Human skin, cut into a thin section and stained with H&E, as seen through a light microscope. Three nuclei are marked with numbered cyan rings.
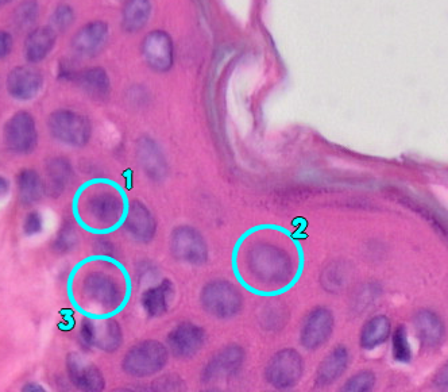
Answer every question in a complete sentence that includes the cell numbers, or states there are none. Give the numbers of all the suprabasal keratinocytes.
The cells carrying the numbers 1 and 2 are suprabasal keratinocytes.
